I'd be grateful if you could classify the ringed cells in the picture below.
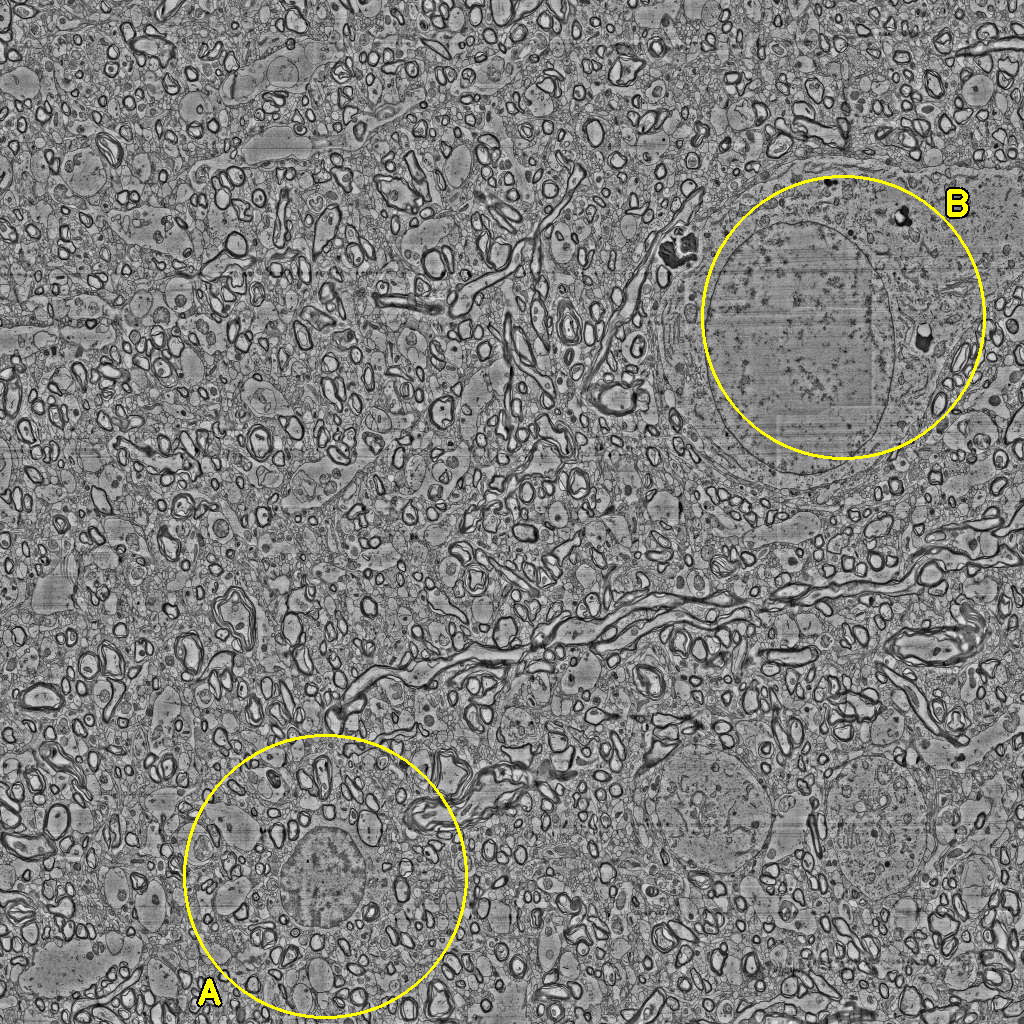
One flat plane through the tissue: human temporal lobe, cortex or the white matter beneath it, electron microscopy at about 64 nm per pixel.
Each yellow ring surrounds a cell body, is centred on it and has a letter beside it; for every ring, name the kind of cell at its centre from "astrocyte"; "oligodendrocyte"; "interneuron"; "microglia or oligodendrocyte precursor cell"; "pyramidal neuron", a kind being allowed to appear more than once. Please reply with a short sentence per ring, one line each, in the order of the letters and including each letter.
In ring A we have an oligodendrocyte.
In ring B we have a pyramidal neuron.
